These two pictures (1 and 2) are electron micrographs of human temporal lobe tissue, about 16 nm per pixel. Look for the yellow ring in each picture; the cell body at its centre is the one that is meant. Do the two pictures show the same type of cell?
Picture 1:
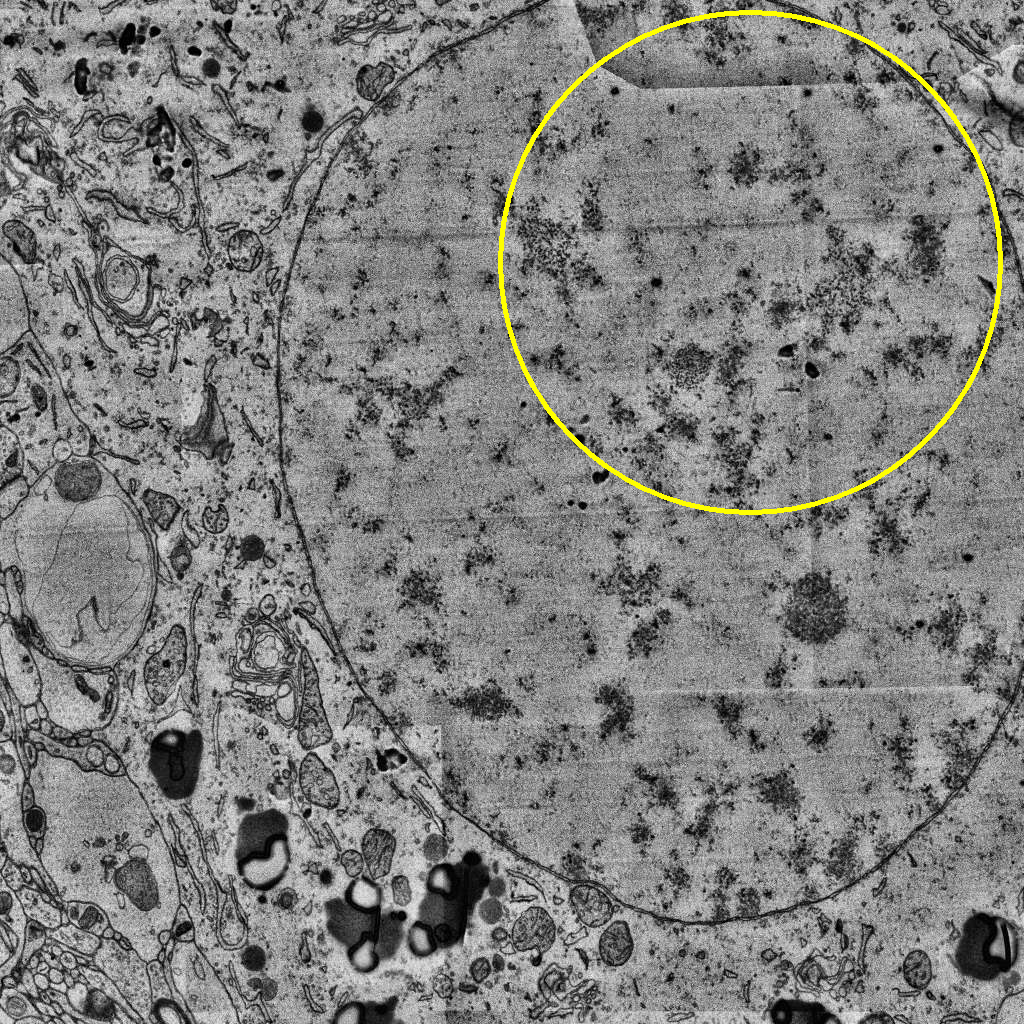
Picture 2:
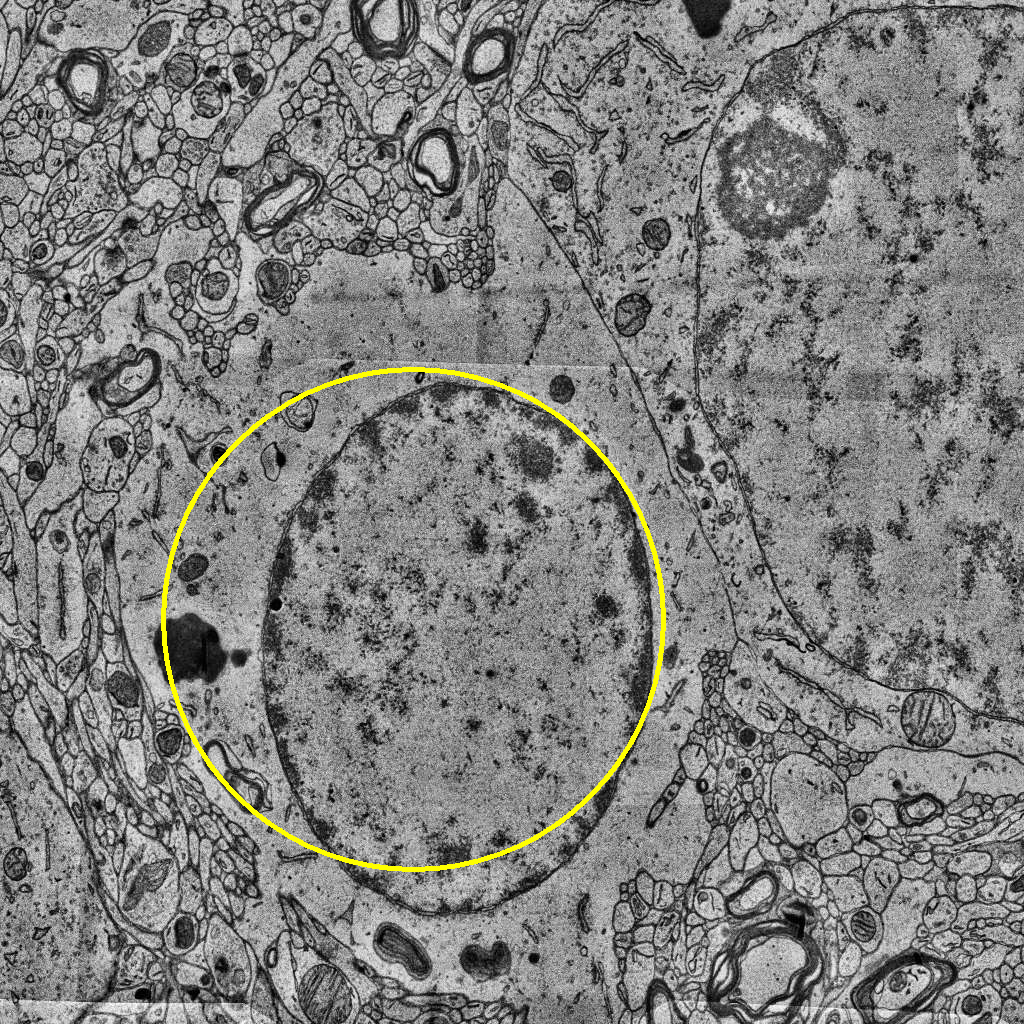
No, picture 1 shows a pyramidal neuron and picture 2 shows an astrocyte.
